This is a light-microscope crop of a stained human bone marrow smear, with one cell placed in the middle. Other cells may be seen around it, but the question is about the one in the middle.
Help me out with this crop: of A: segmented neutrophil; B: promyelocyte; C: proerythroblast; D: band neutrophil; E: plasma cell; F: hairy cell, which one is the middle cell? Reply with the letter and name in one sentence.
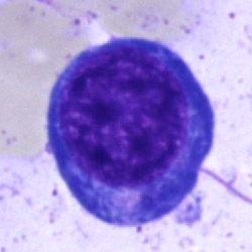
The best answer is option C, since the cell in the middle is a proerythroblast.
